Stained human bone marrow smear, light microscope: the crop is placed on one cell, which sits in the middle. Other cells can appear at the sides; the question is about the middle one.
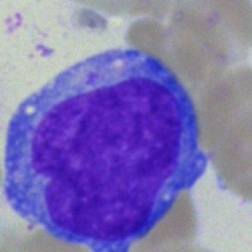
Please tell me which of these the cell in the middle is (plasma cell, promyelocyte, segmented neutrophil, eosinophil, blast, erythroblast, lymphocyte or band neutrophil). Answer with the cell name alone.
blast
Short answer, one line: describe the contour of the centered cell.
Irregular rather than smooth, the cell margin shows ragged areas or projections.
